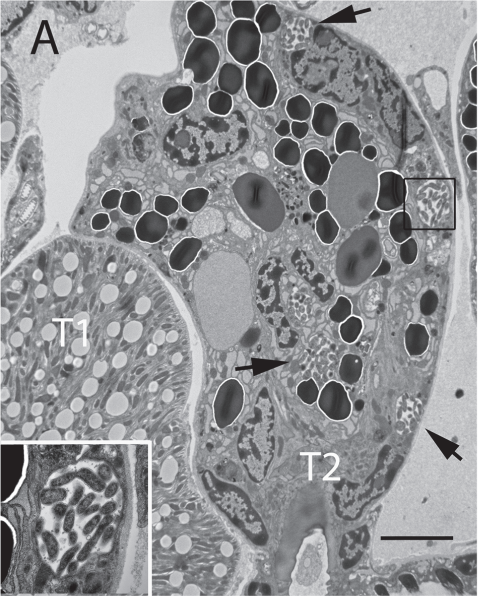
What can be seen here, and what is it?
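Two rounded acini of a gland sit side by side: one on the left is filled with cells holding many pale, round vacuoles, while the larger one on the right holds cells crammed with dense, dark, rounded granules of varying size and a few large grey homogeneous droplets. Irregular nuclei with clumped chromatin lie between the granules. Scattered among these cells are small membrane-bound vacuoles containing clusters of tiny rod-shaped bodies, one enlarged in the inset.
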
